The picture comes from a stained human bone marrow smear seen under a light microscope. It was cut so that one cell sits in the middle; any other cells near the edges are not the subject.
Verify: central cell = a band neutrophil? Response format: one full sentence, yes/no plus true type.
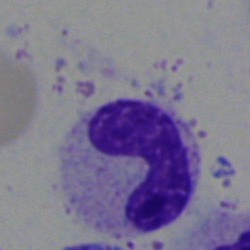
Yes, the middle cell here is a band neutrophil.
